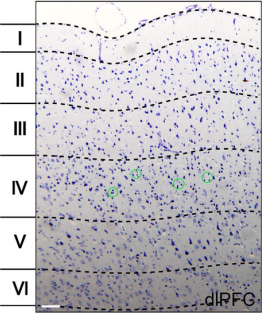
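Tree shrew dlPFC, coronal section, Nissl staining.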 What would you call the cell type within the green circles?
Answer: granular cells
